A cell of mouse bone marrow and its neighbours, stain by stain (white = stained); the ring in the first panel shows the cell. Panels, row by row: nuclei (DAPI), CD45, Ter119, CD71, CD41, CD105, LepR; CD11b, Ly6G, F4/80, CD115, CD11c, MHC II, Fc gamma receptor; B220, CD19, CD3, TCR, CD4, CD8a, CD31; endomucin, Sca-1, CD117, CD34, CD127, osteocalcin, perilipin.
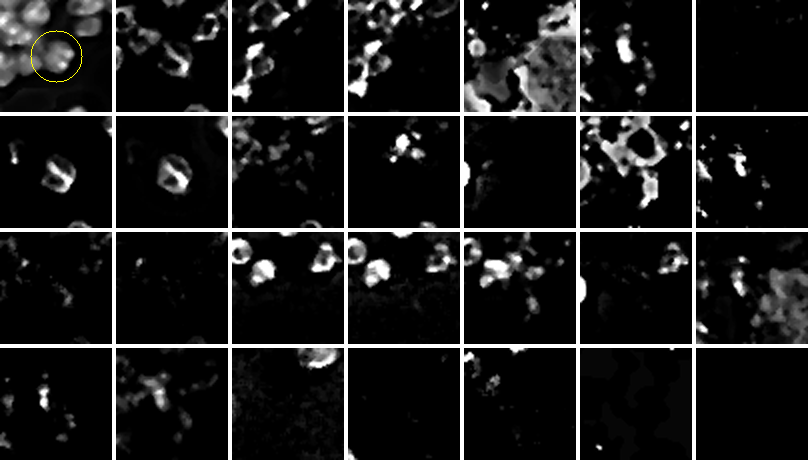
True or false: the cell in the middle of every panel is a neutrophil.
True.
